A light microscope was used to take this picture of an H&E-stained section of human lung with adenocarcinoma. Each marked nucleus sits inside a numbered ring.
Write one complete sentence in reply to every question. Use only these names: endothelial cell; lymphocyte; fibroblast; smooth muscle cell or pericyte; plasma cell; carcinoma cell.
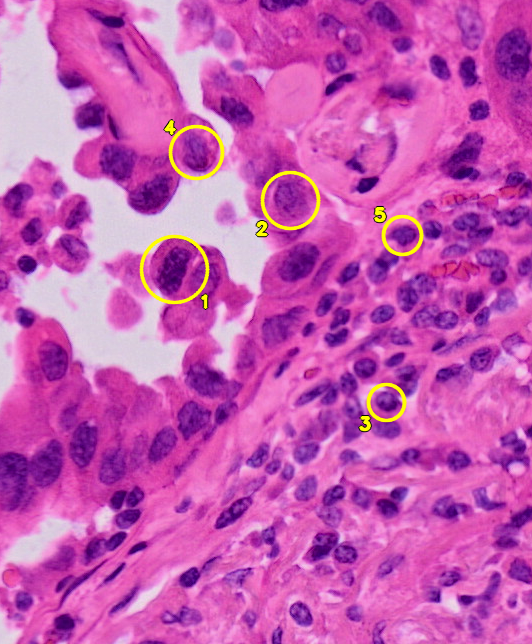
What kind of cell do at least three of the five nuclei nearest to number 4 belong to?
Of the five nuclei nearest to number 4, most belong to carcinoma cells.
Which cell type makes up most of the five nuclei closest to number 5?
Most of the five nuclei nearest to number 5 are those of lymphocytes.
